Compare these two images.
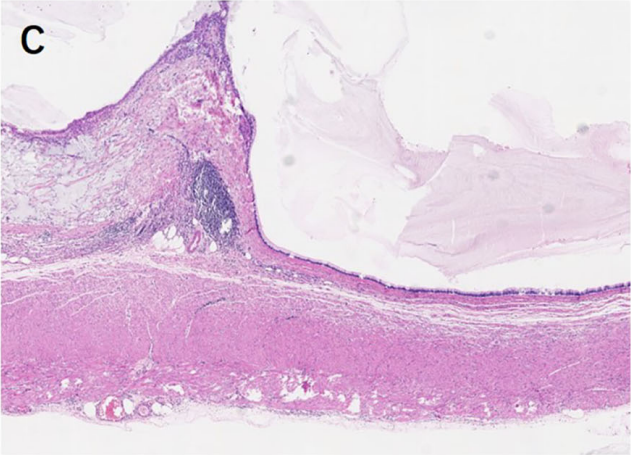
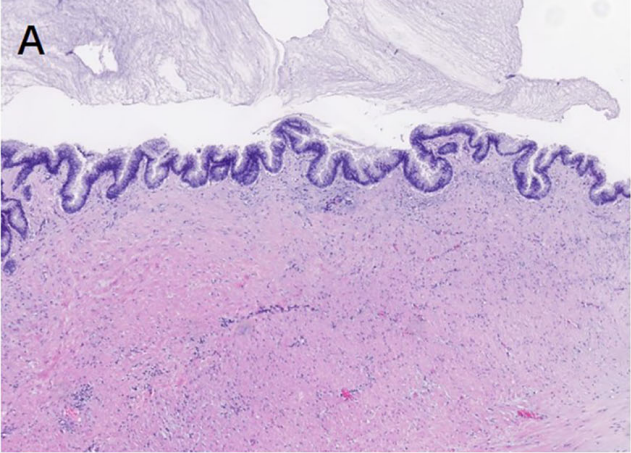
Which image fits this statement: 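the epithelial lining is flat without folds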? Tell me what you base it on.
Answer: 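First image: the lining is a thin flat line along the lumen. Second image: the lining forms regular waves and folds.
Conclusion: the first image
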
